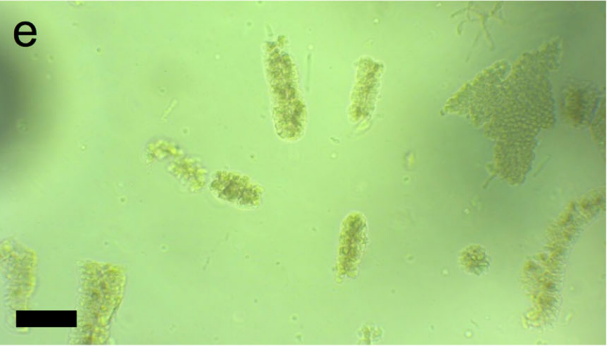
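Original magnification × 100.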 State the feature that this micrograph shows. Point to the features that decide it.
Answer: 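Separate elongated tubular units with rounded ends lie free in clear medium. Their walls are made of many small packed cells. A few smaller fragments and a loose sheet of cells are also present. That points to this answer: crypts.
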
